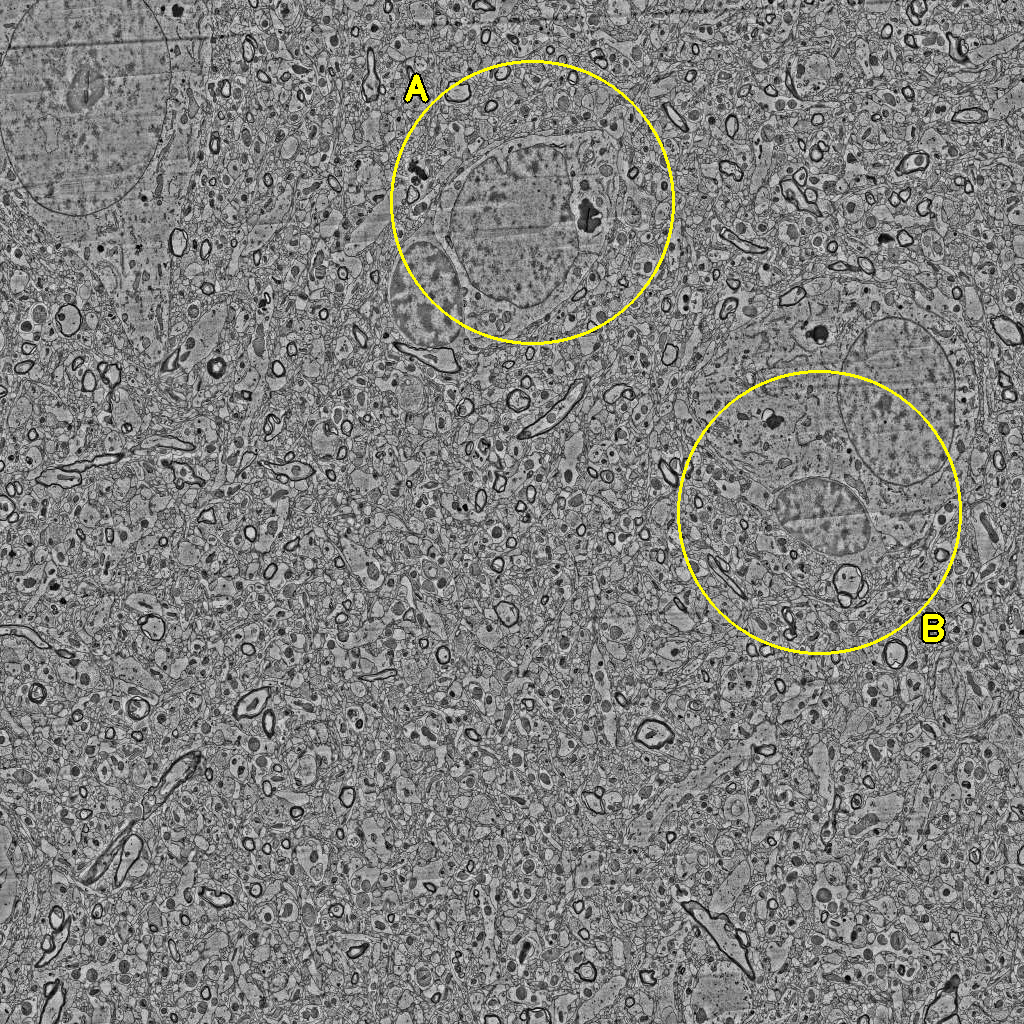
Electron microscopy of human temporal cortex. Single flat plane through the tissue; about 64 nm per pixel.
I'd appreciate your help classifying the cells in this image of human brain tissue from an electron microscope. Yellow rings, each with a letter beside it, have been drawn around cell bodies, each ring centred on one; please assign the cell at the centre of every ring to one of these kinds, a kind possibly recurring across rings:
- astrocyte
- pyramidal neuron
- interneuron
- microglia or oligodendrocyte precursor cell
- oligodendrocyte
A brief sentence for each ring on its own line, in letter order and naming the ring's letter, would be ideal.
In ring A, the central cell is an interneuron.
In ring B, the central cell is an oligodendrocyte.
